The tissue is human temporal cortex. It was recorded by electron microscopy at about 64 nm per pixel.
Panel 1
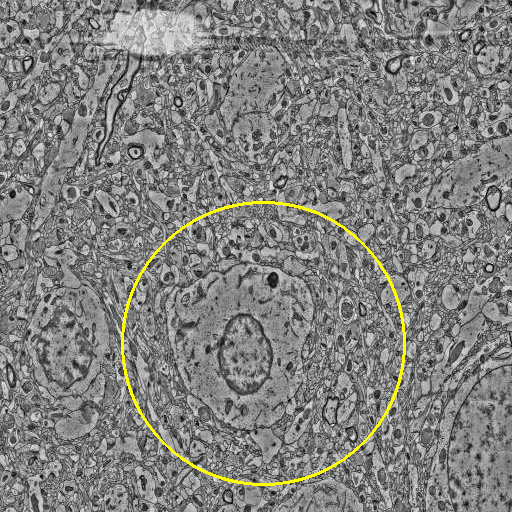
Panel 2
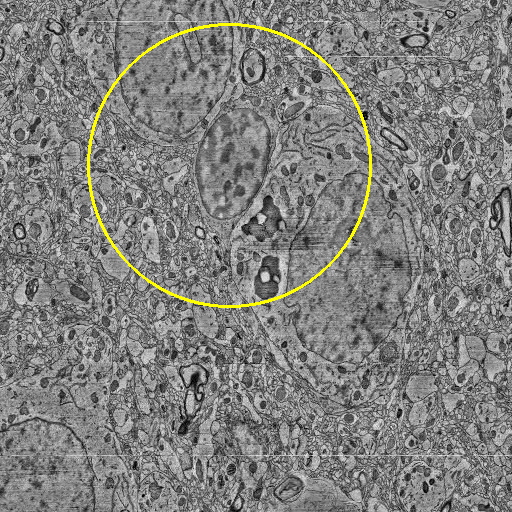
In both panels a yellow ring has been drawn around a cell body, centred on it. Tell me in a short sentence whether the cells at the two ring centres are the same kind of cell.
No, they are two kinds of cell.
